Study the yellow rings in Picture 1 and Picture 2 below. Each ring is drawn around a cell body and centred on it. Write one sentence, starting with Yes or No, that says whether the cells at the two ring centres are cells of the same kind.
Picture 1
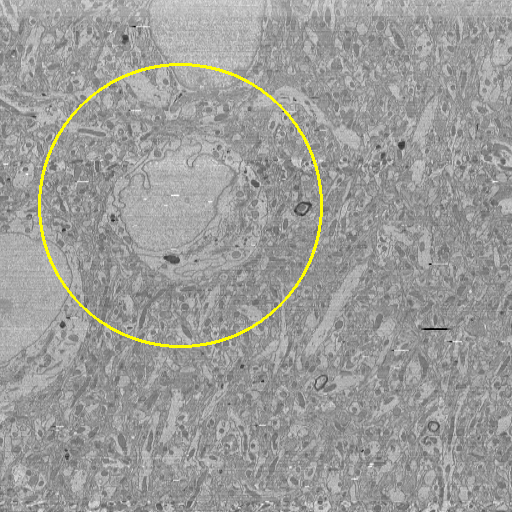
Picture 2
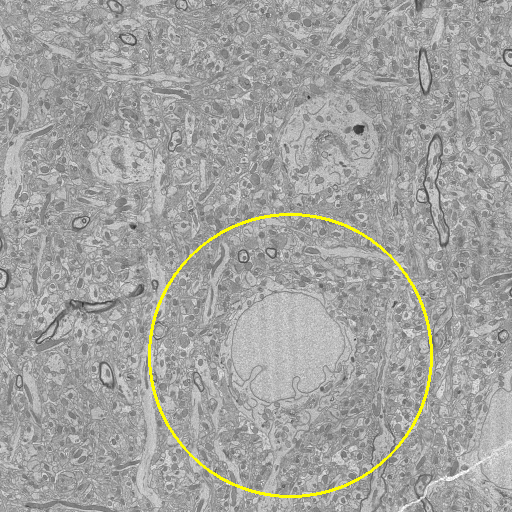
Yes, the cells at both ring centres are of the same kind.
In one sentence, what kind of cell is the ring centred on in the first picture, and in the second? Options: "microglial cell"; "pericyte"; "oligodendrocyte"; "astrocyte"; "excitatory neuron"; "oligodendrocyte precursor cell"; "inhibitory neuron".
The cell at the ring centre is an inhibitory neuron in both pictures.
